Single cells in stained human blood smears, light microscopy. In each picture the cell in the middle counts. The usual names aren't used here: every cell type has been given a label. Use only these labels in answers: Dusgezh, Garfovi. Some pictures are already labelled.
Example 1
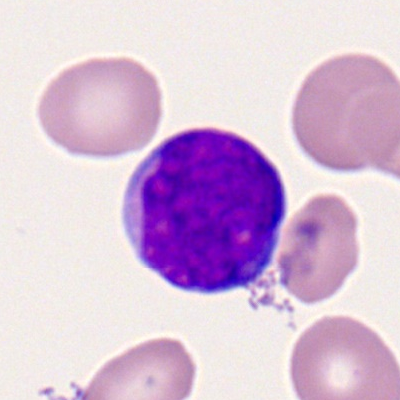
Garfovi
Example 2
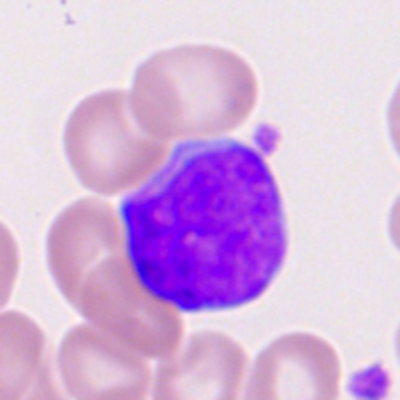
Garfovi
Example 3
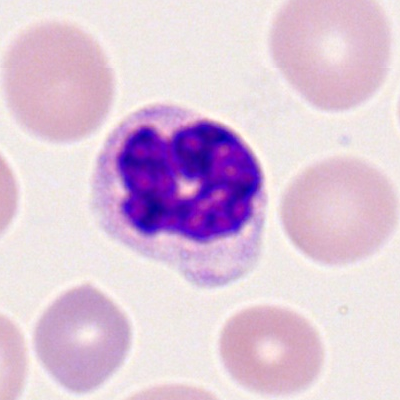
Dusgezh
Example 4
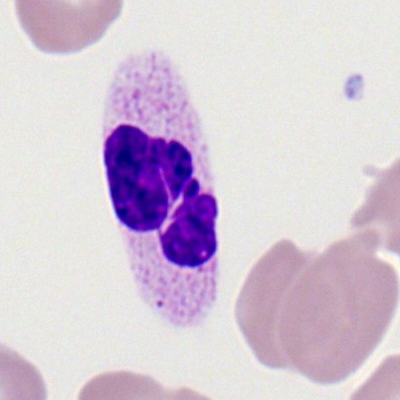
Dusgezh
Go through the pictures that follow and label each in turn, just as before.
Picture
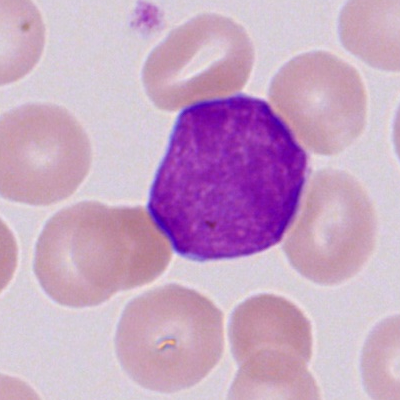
Garfovi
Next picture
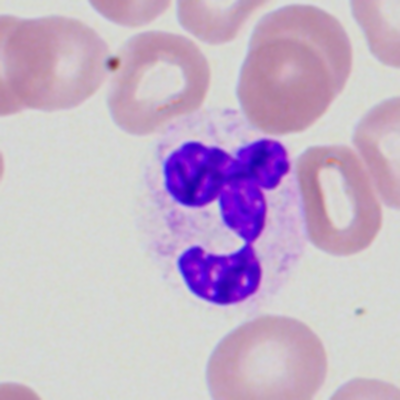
Dusgezh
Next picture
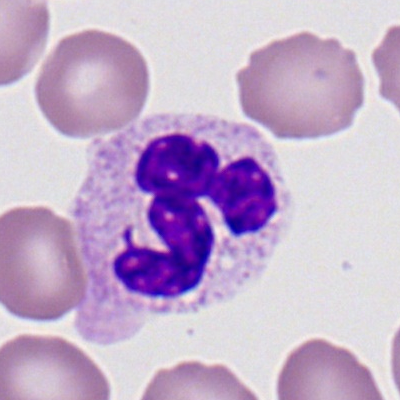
Dusgezh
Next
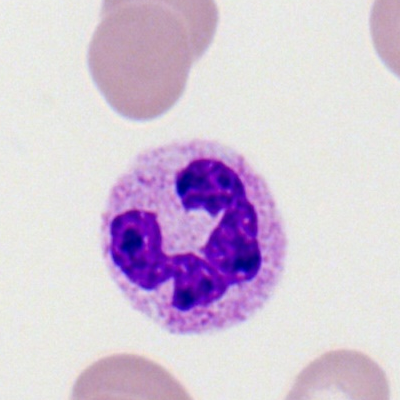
Dusgezh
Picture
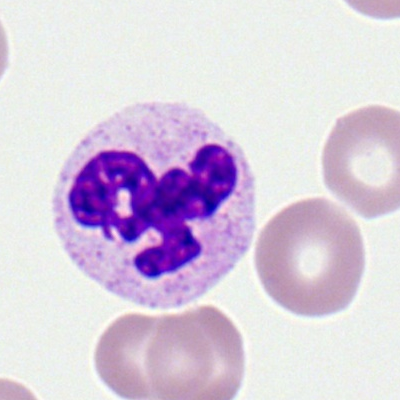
Dusgezh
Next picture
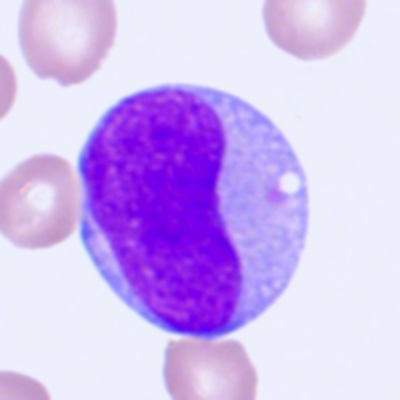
Garfovi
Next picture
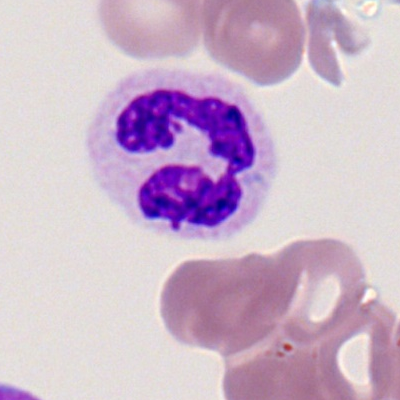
Dusgezh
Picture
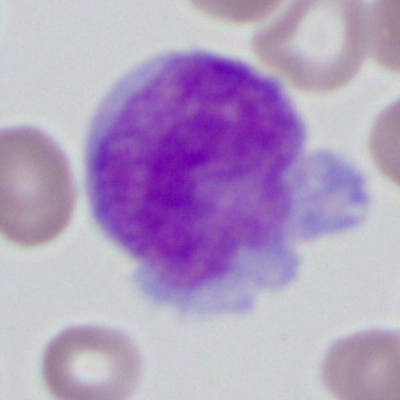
Garfovi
